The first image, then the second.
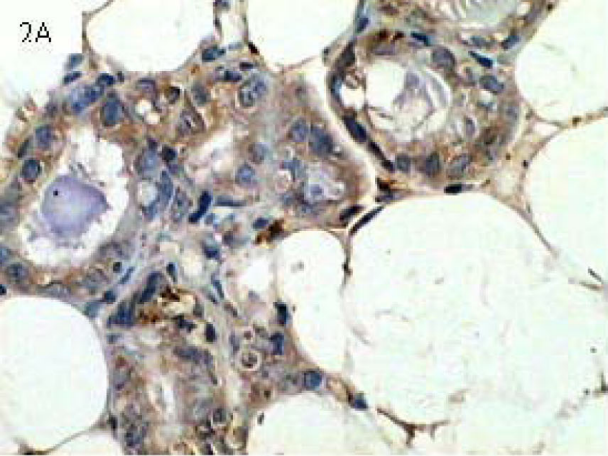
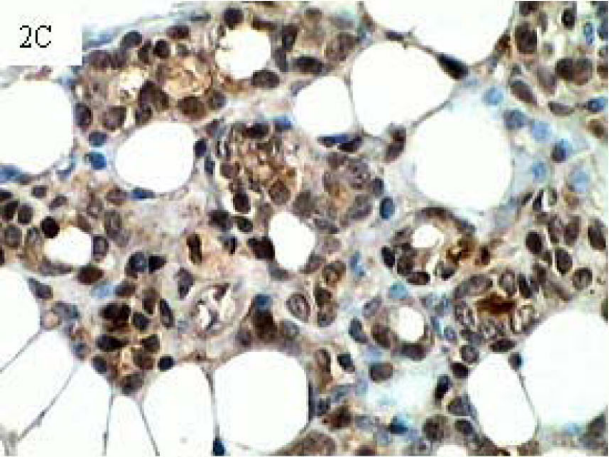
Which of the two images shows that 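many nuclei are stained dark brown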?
The second image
